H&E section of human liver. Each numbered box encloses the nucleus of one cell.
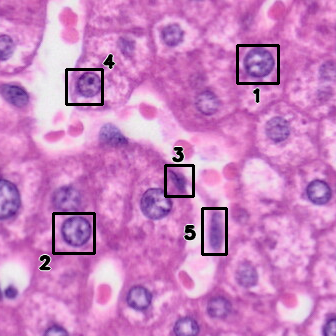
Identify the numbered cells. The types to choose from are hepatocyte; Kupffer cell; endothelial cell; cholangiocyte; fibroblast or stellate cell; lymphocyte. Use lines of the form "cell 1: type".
cell 1: hepatocyte
cell 2: hepatocyte
cell 3: fibroblast or stellate cell
cell 4: hepatocyte
cell 5: Kupffer cell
